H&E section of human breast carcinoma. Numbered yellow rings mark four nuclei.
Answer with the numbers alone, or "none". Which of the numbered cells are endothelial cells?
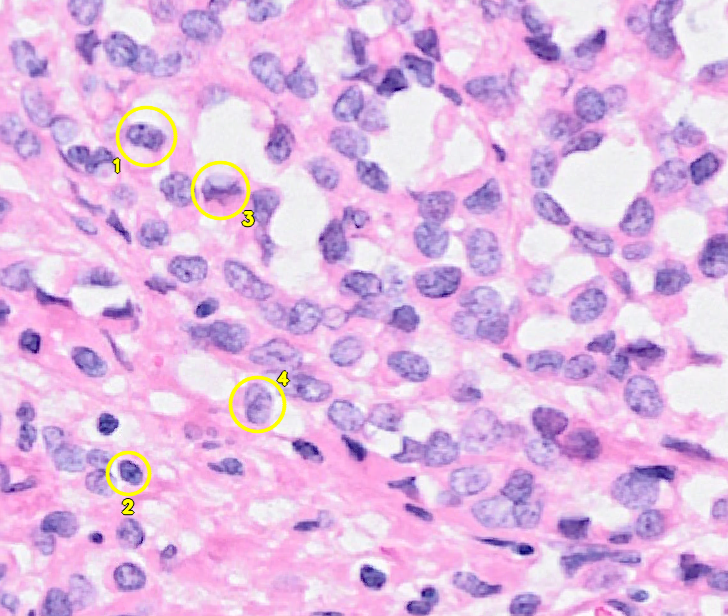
none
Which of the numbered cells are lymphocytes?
2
